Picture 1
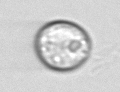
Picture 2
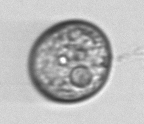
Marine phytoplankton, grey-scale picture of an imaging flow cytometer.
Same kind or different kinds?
Same: Prorocentrum.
